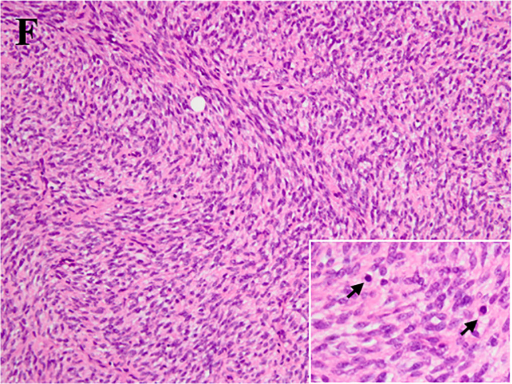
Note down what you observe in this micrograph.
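This is a highly cellular spindle cell tumour, its crowded cells with oval dark nuclei arranged in long fascicles that meet at angles in a herringbone fashion. The inset at higher power shows mitotic figures as small, dense dark nuclei among the spindle cells.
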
